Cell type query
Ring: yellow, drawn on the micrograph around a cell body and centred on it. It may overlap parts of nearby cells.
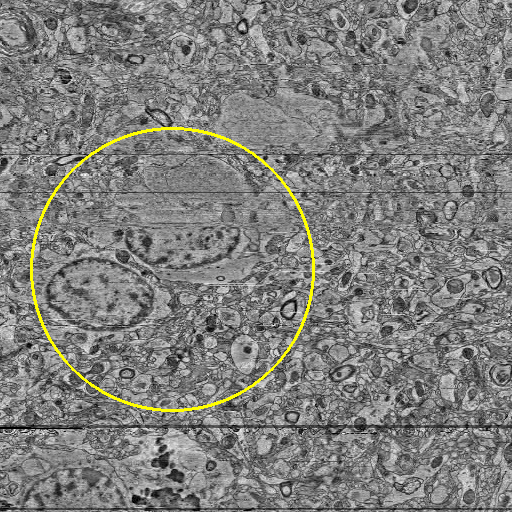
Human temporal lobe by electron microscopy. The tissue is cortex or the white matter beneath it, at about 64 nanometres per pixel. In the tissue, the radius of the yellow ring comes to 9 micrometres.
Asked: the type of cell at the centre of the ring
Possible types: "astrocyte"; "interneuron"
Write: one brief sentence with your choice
The ring marks an astrocyte.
